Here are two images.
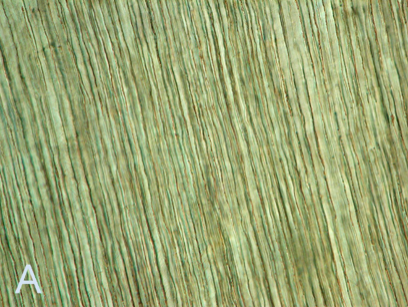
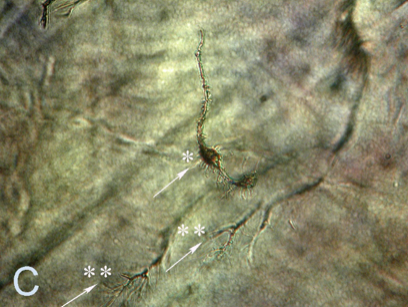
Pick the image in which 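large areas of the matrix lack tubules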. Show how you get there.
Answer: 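First image: fine tubules fill the whole field densely. Second image: most of the field is pale, featureless matrix with only a few scattered tubules.
Conclusion: the second image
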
